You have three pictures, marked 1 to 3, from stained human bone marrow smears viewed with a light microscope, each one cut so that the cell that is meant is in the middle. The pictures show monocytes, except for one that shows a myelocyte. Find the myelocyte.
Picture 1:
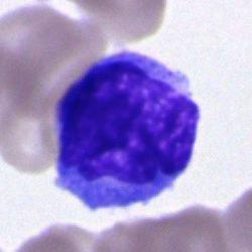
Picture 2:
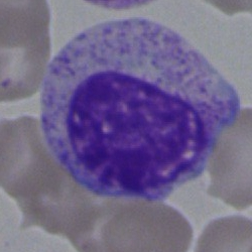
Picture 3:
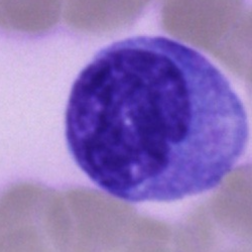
2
